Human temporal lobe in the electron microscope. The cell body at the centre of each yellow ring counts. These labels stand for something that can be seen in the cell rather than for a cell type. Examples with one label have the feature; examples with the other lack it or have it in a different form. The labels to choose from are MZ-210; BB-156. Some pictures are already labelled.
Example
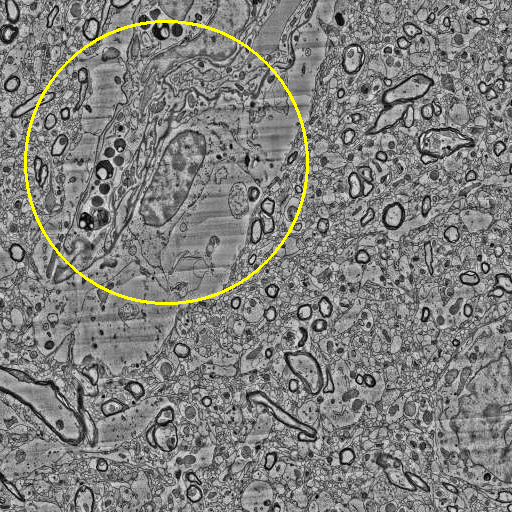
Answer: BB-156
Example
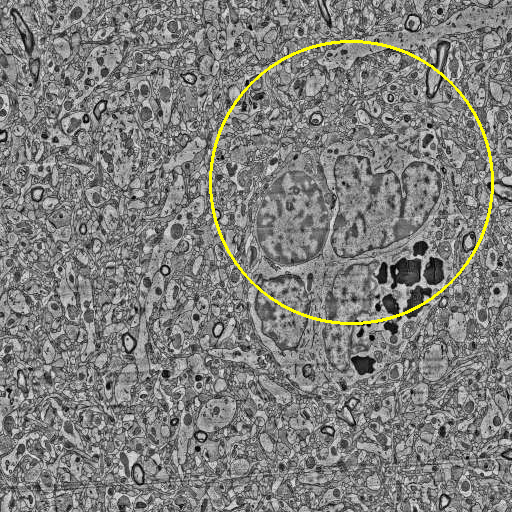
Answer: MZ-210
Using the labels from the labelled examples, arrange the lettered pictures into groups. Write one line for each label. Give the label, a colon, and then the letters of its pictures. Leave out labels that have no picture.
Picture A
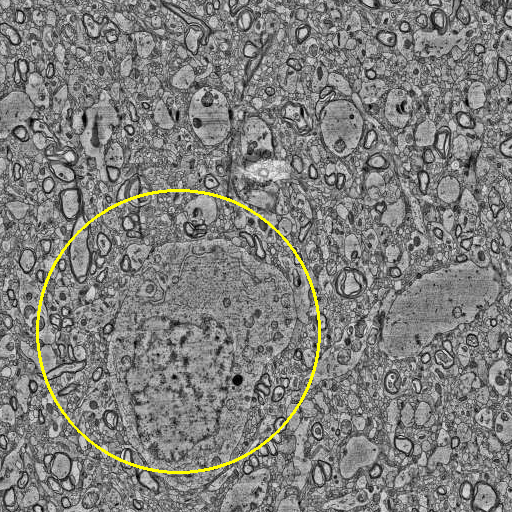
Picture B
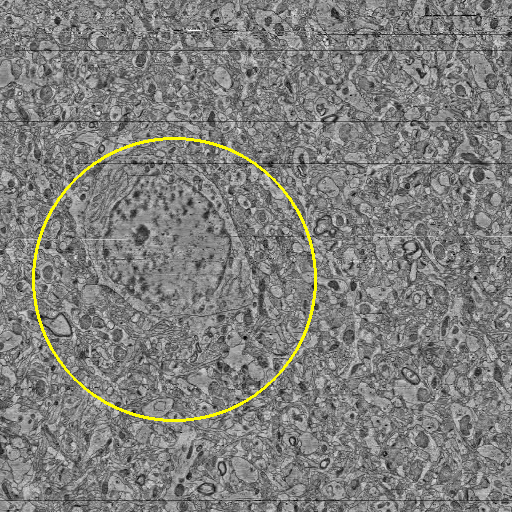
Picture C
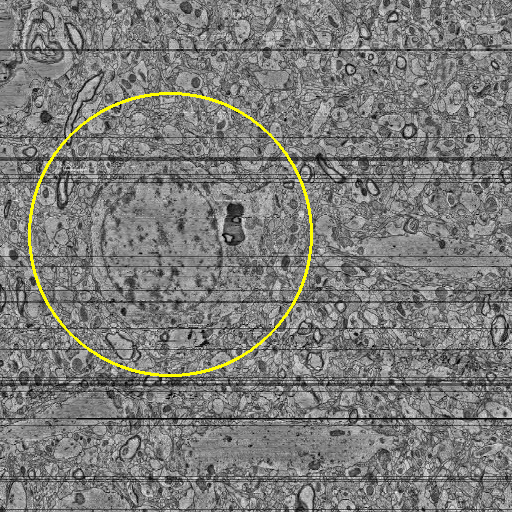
BB-156: A, B, C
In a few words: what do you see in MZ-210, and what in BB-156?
In MZ-210: deeply folded or indented nuclear envelopes. In BB-156: smooth nuclear envelopes without deep folds.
